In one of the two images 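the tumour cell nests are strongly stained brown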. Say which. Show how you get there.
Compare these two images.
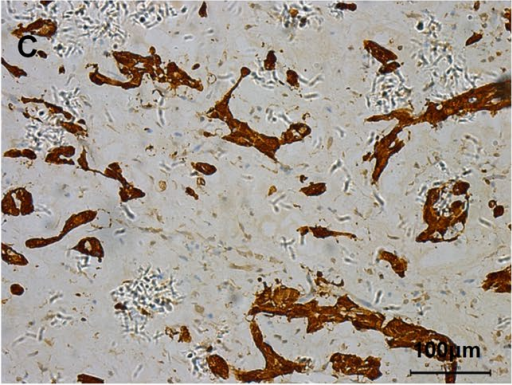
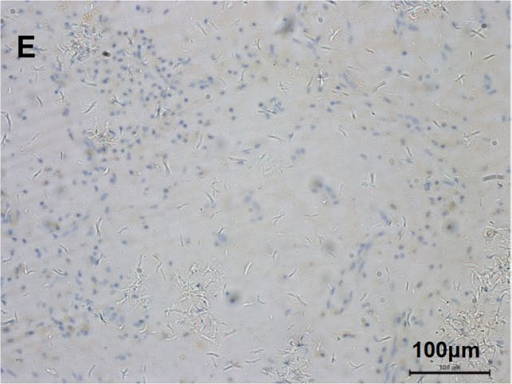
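The first image. Second image: cells show only blue nuclei with almost no brown colour. First image: irregular cords and nests of cells are stained intense dark brown.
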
